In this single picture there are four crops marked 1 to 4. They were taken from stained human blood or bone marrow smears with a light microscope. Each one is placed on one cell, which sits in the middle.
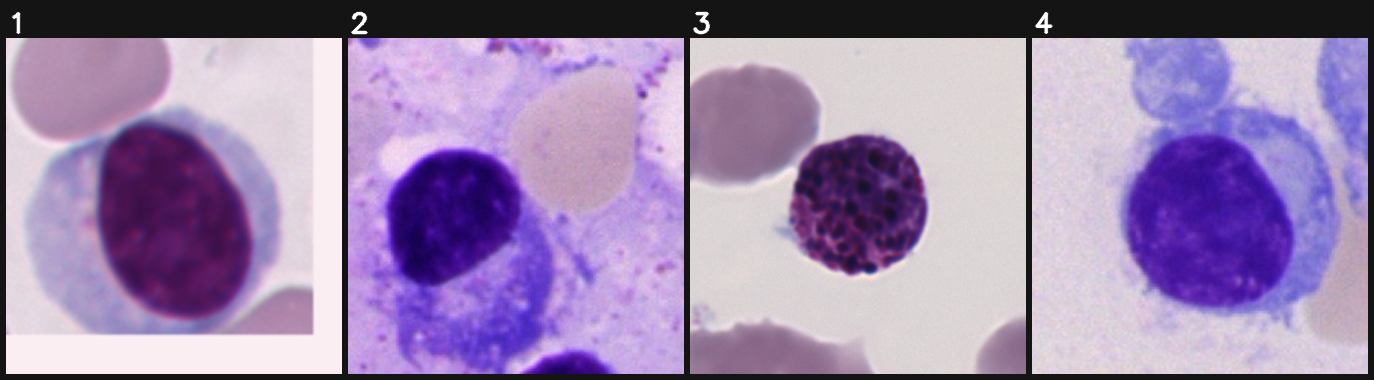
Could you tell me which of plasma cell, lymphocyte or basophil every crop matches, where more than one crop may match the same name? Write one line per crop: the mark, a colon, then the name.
1: lymphocyte
2: plasma cell
3: basophil
4: plasma cell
